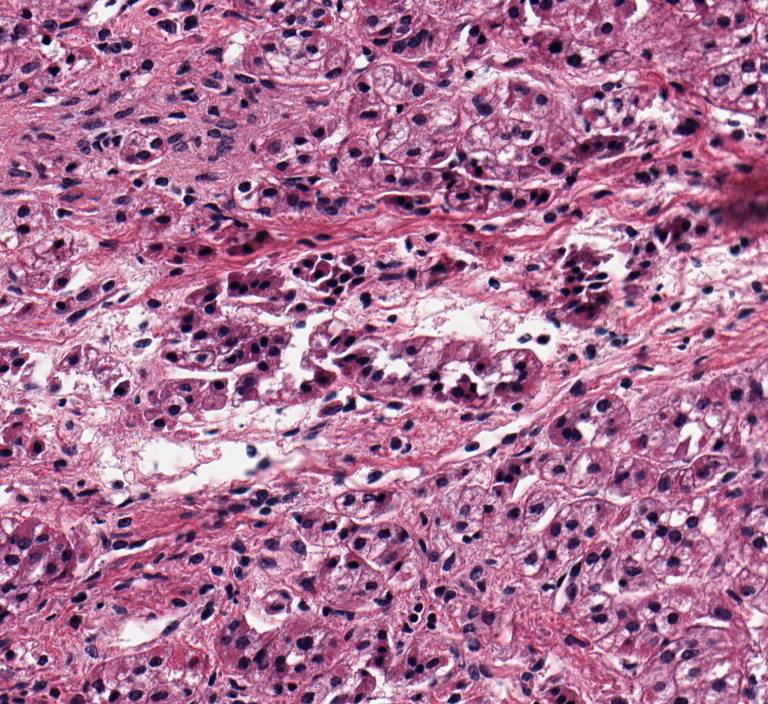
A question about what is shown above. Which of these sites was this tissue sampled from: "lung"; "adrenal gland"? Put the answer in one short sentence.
The site this tissue was sampled from is the adrenal gland.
